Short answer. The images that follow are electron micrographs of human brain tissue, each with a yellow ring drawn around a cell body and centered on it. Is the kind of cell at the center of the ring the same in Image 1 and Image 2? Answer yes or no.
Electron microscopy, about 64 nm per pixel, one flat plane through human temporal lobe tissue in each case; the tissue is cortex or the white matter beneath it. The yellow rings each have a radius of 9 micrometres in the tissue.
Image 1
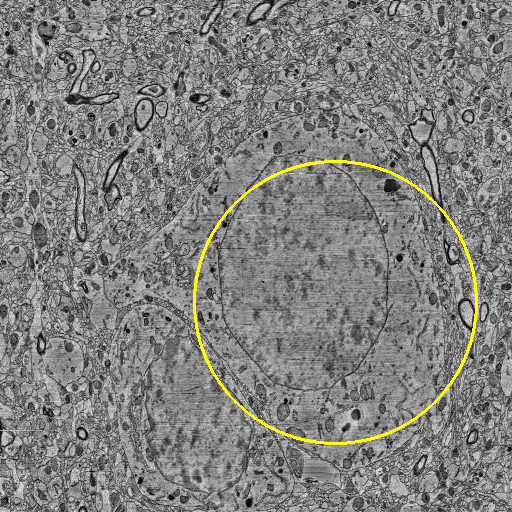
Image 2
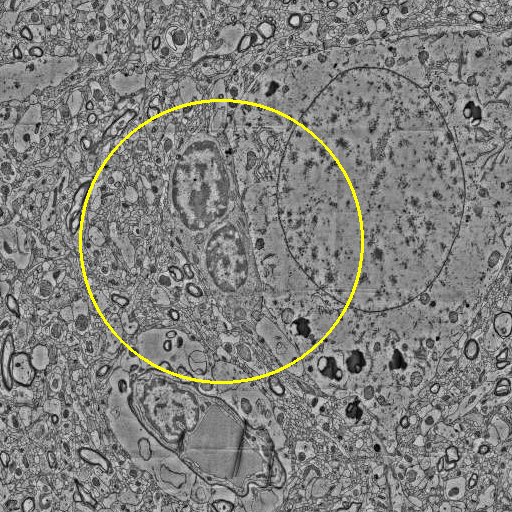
no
